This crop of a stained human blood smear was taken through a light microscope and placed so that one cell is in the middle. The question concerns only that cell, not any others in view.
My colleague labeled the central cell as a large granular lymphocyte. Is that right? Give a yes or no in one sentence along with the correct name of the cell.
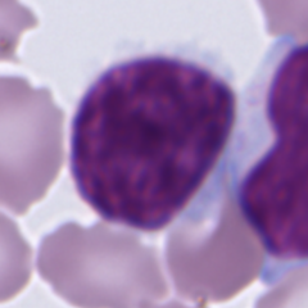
No, the cell in the middle should be called a hairy cell instead of a large granular lymphocyte.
